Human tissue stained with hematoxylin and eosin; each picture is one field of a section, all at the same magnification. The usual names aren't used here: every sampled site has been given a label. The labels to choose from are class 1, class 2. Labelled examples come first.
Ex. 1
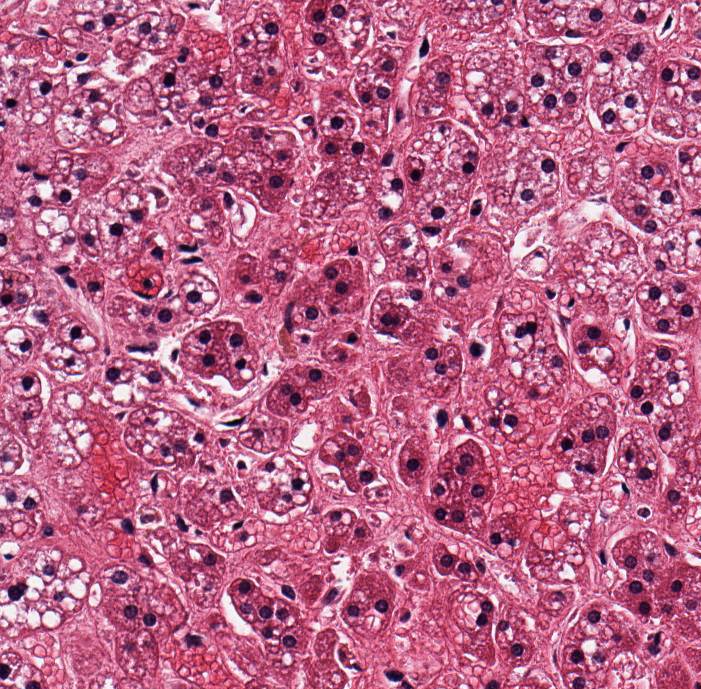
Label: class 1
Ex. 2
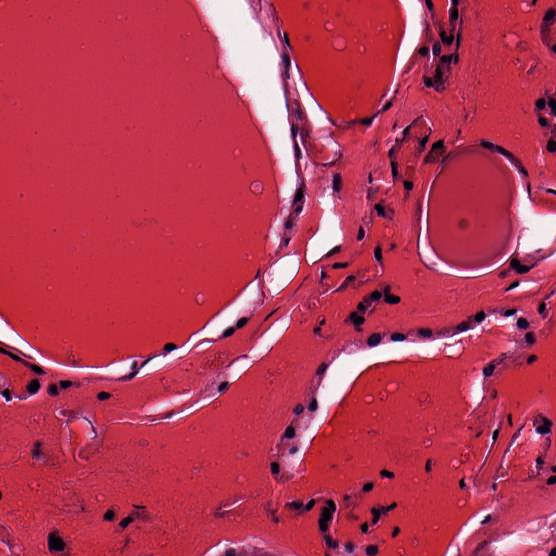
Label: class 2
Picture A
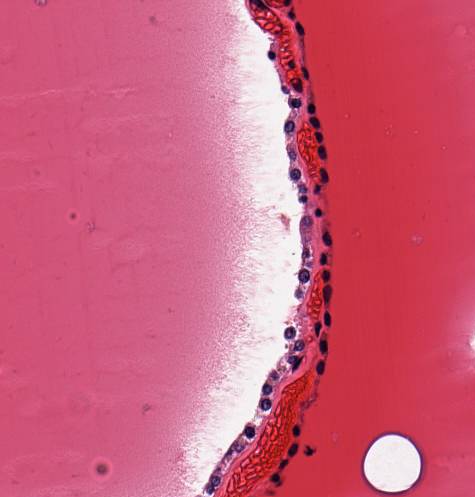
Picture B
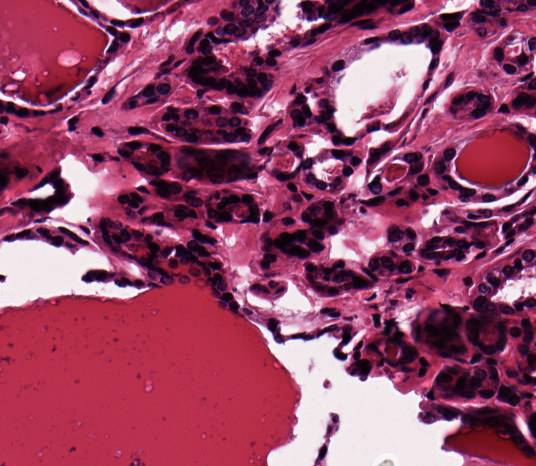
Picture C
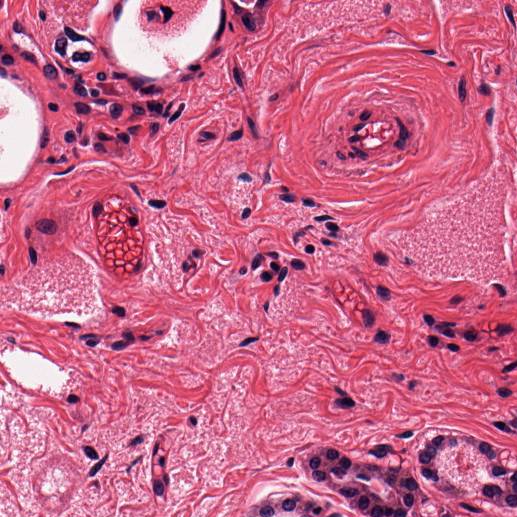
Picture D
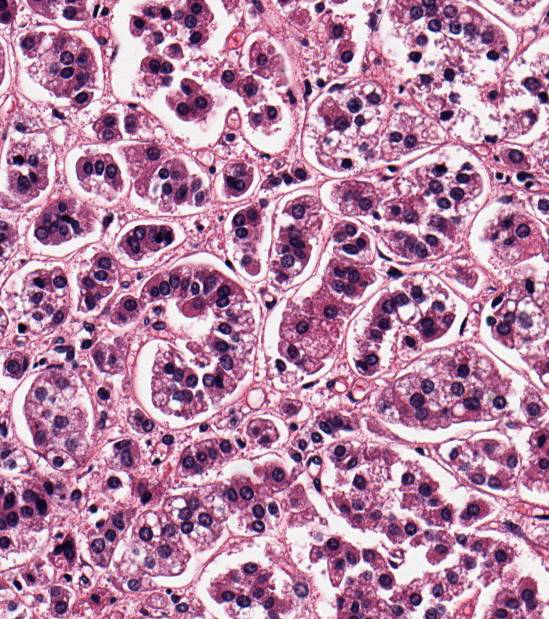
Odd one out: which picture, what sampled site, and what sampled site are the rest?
Different: D, class 1. Others: class 2.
